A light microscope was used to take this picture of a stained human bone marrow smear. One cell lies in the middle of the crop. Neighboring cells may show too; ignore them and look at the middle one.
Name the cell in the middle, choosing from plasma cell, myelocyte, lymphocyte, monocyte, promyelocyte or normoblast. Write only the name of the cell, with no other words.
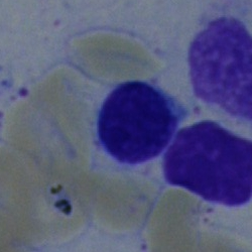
lymphocyte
